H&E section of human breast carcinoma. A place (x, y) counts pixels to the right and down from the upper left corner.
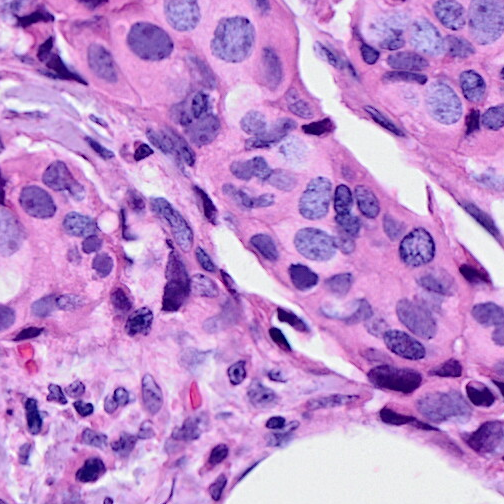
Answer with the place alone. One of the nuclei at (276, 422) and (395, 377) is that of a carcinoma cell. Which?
(395, 377)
